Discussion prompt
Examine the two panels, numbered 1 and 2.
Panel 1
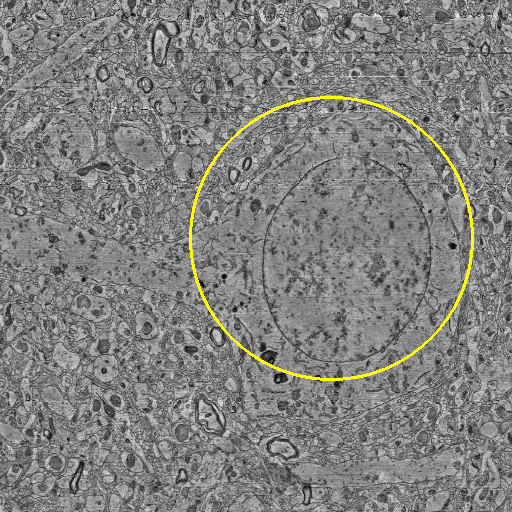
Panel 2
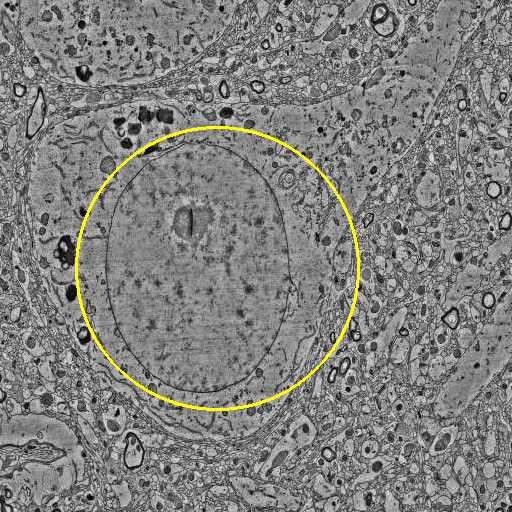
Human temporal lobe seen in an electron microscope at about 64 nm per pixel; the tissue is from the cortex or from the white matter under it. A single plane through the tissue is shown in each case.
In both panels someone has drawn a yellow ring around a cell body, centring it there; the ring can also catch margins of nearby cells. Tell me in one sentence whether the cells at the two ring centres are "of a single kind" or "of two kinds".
Taken together, the two cells centred in the rings of Panels 1 and 2 are of a single kind.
